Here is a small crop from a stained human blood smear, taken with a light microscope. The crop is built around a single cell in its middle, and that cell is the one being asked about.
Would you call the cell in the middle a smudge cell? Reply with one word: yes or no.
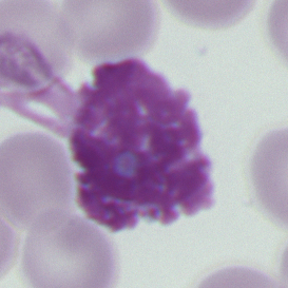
yes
